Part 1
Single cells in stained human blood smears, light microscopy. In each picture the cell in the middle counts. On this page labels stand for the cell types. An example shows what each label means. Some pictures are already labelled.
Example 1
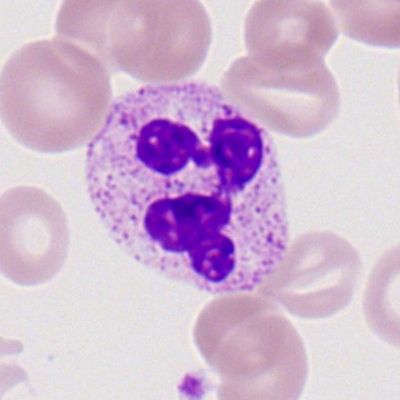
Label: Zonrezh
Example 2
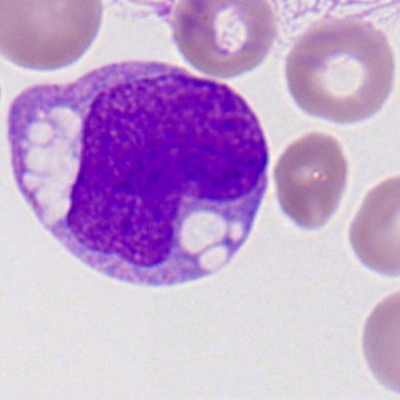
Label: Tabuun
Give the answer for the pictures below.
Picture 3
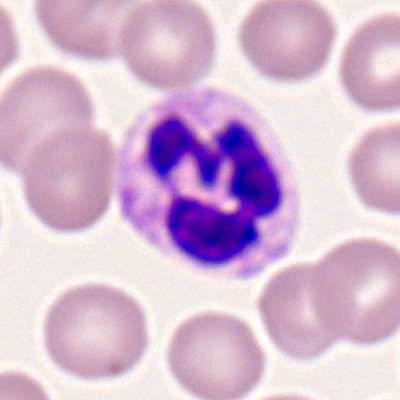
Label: Zonrezh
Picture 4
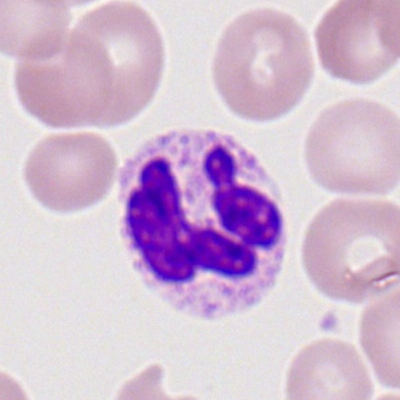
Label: Zonrezh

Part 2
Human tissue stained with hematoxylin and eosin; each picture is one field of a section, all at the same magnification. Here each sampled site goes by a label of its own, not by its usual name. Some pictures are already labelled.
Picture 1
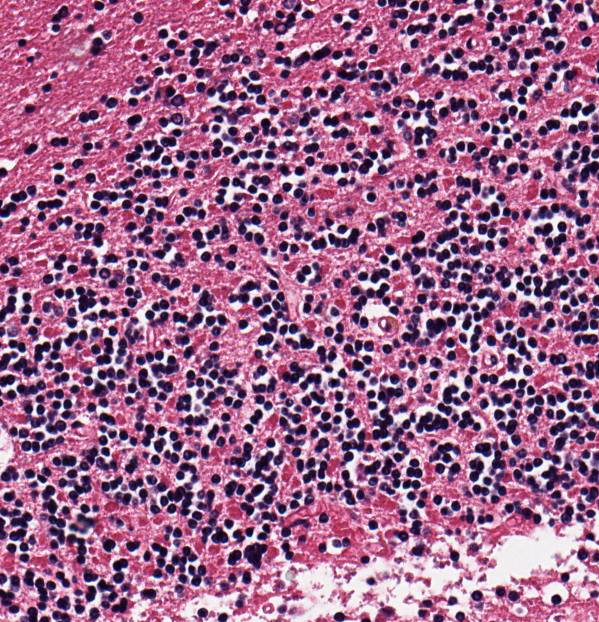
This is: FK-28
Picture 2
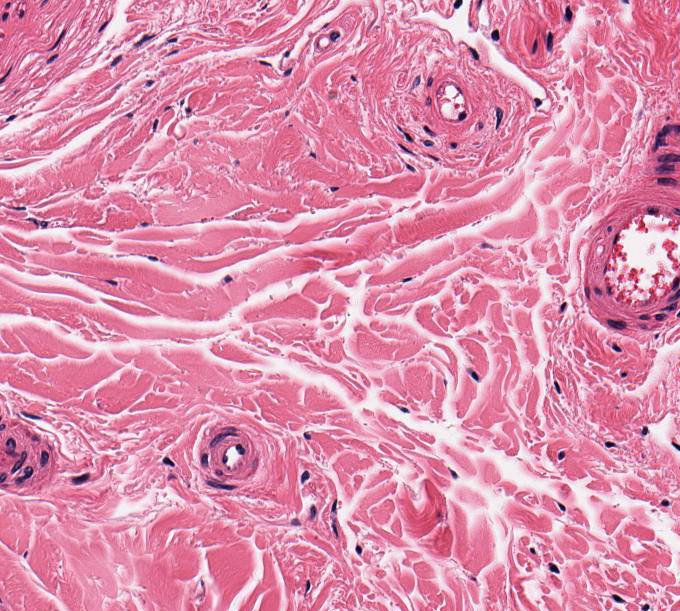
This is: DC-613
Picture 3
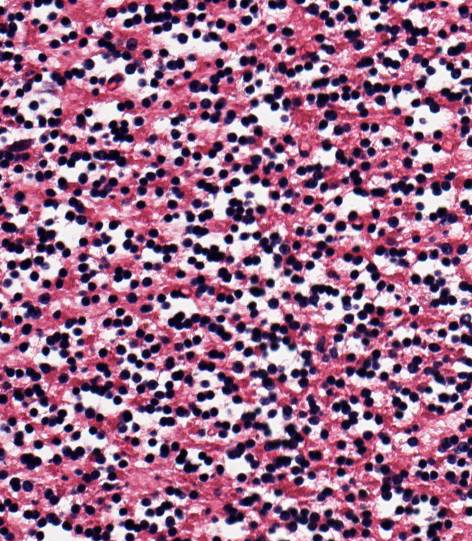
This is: FK-28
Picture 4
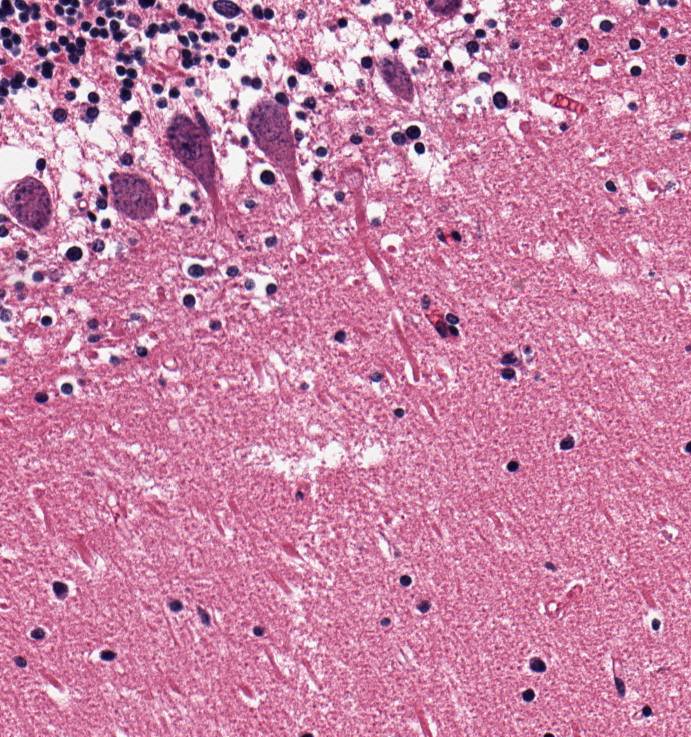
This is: FK-28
